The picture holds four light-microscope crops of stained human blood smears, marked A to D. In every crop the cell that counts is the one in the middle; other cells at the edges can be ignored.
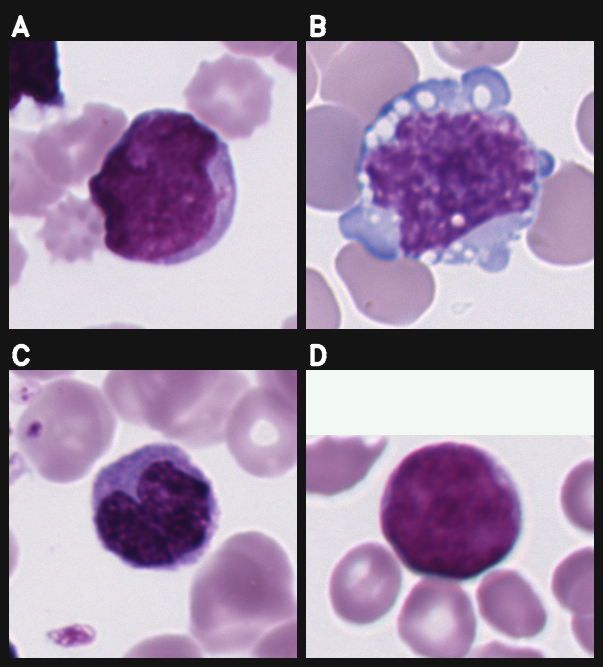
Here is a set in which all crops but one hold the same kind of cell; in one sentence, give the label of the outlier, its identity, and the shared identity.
Only one crop differs, namely crop C, which is a monocyte; the others show myeloblasts.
